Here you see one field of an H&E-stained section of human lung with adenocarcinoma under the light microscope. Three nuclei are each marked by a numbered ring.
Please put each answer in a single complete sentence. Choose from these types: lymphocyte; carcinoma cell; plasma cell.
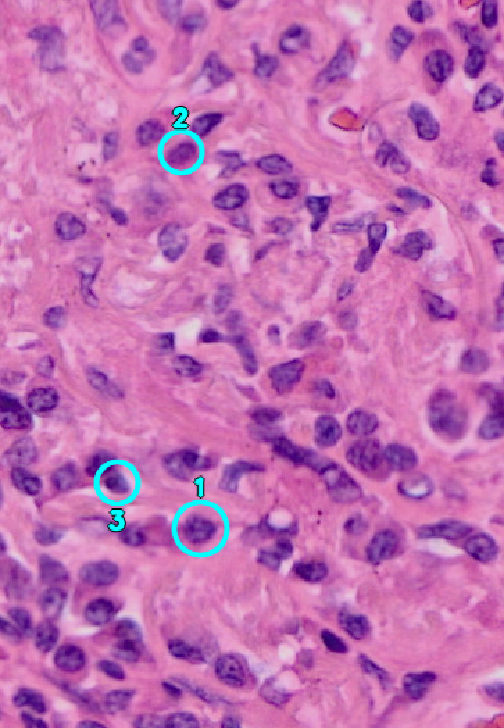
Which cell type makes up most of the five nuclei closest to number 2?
Plasma cells account for more than half of the five nuclei nearest to number 2.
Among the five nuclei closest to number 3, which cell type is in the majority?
The majority of the five nuclei closest to number 3 belong to plasma cells.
